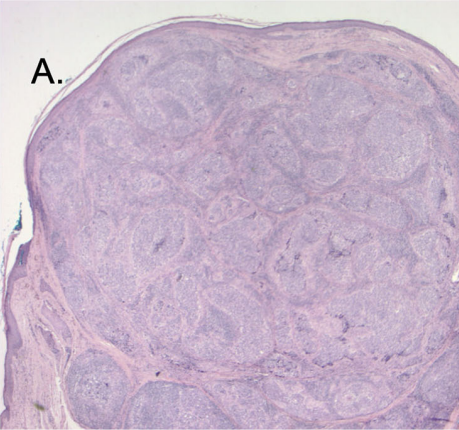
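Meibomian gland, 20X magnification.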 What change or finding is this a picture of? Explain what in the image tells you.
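Many rounded purple nests of cells fill the tissue beneath a thin surface epithelium. The nests are separated by thin pink fibrous septa. The mass forms a dome-shaped, well-circumscribed lesion.
Nodular tumor.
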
